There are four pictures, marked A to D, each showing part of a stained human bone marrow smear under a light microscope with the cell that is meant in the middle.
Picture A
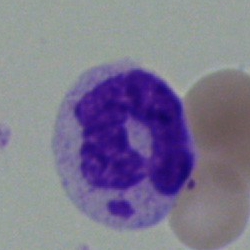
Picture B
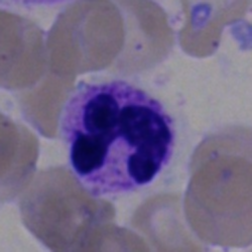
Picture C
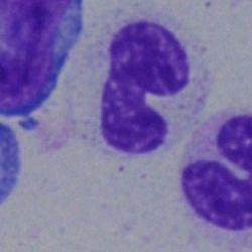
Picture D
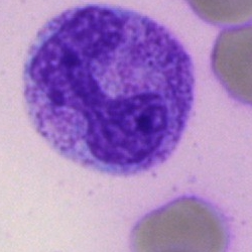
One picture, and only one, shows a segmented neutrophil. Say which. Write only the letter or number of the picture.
B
